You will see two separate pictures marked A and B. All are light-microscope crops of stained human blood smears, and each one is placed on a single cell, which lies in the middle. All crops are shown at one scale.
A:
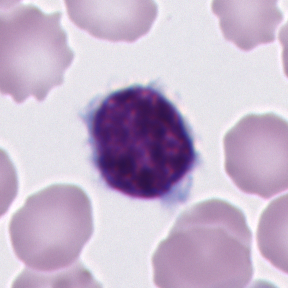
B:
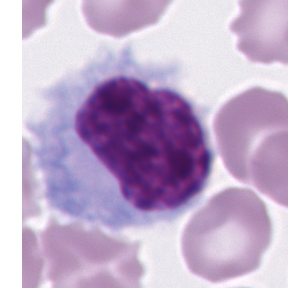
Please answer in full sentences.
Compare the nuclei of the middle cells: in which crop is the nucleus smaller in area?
It is the nucleus in crop A; the one in crop B has about 1.5 times its area.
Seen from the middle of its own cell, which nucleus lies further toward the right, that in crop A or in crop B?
In crop B the nucleus is shifted more toward the right.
